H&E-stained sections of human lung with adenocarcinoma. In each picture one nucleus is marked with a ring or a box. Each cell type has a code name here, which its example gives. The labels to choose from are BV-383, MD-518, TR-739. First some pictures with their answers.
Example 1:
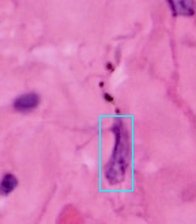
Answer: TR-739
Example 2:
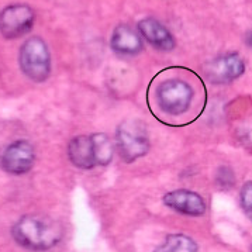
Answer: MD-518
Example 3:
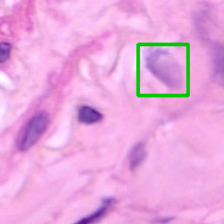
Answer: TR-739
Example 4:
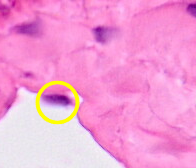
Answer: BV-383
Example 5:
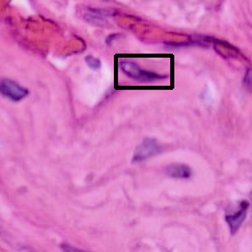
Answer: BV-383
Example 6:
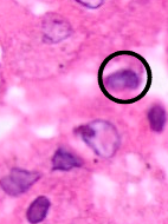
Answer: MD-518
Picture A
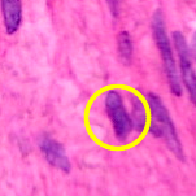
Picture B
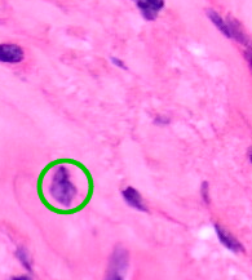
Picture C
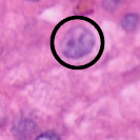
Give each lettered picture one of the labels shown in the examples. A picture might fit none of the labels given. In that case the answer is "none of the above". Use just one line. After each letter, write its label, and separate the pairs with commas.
A none of the above, B TR-739, C MD-518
